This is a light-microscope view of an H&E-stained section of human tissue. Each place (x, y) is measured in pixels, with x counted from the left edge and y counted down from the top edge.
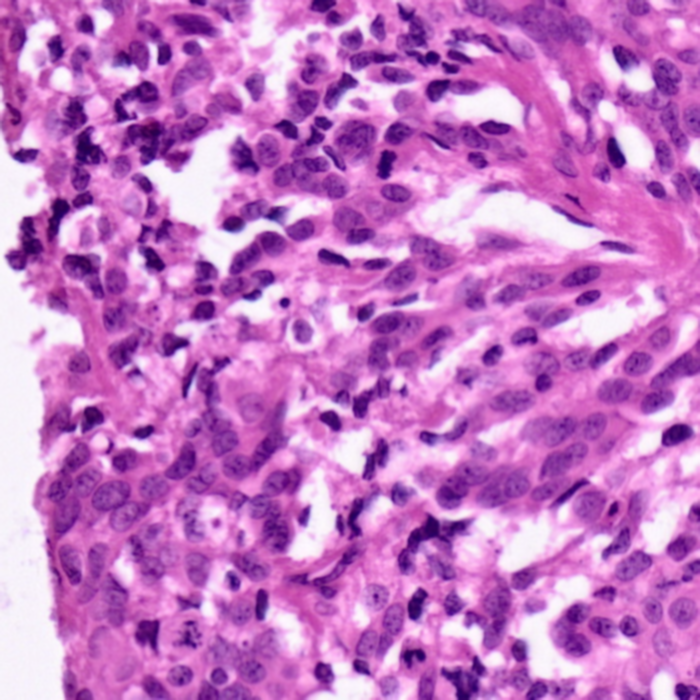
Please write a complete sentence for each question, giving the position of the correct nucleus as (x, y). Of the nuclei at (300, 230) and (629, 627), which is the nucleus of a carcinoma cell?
In this pair, the nucleus at (300, 230) belongs to a carcinoma cell.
